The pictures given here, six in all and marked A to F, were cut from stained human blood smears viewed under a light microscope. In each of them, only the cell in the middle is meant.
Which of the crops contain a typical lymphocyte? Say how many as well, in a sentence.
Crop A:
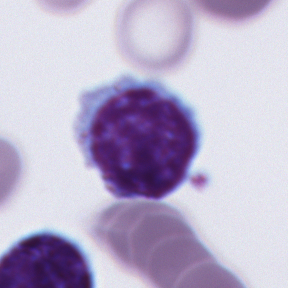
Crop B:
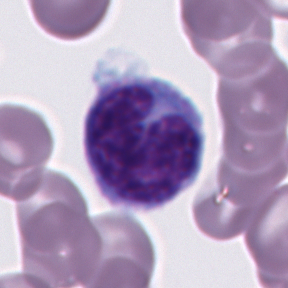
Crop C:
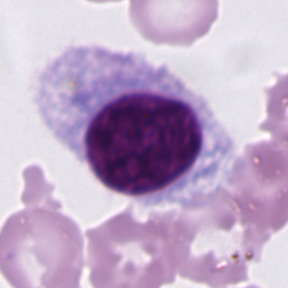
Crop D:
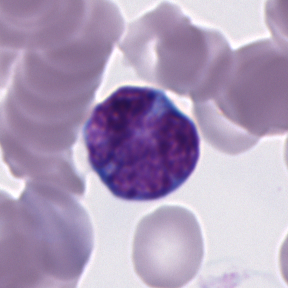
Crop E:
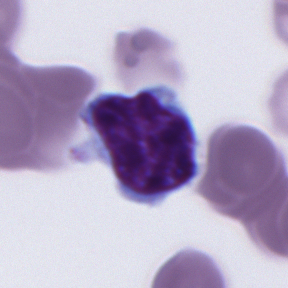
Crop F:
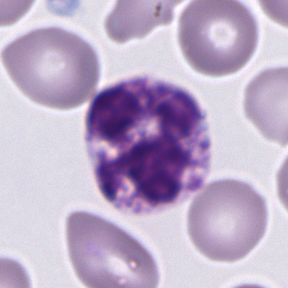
Crops A, D and E show typical lymphocytes, which makes three such crops.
